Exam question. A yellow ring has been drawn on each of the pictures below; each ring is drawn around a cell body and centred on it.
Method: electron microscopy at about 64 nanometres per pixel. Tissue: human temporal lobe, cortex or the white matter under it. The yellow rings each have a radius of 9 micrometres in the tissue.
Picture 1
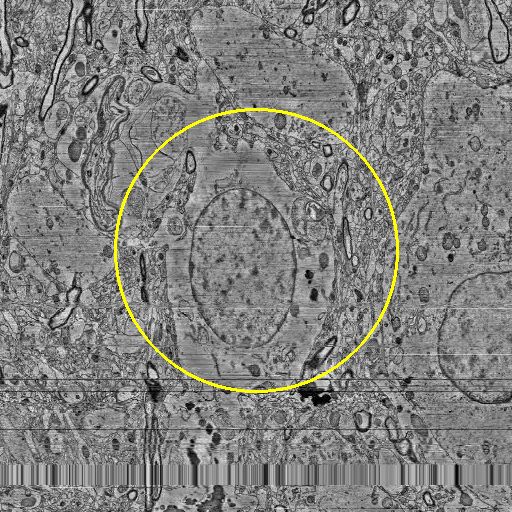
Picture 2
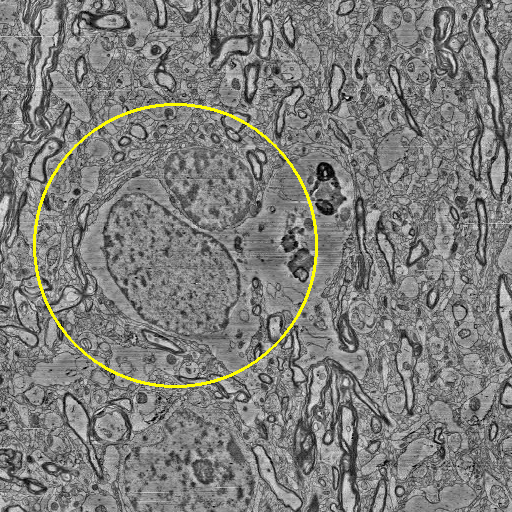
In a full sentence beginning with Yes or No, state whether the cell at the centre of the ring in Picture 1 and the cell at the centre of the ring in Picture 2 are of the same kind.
Yes, the two cells are of the same kind.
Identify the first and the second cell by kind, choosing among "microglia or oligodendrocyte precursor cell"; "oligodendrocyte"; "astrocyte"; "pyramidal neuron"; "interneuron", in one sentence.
Each of the ringed cells, first and second, is an astrocyte.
